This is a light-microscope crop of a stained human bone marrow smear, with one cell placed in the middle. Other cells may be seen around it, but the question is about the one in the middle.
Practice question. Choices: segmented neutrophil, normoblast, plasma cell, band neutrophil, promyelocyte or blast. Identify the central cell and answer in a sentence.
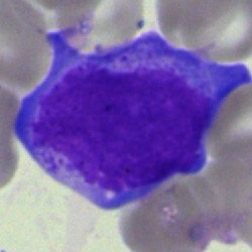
At the center of the crop sits a blast.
